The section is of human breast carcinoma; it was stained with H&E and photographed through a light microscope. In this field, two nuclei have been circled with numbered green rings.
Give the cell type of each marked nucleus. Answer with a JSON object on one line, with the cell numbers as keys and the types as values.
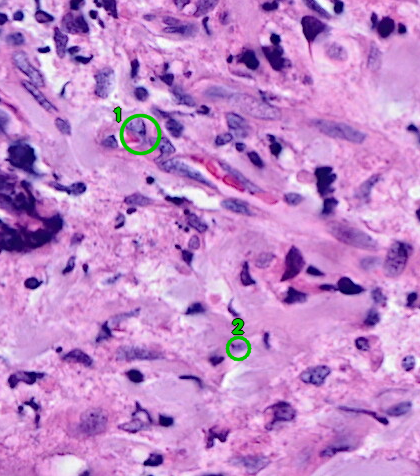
{"1": "endothelial cell", "2": "fibroblast"}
